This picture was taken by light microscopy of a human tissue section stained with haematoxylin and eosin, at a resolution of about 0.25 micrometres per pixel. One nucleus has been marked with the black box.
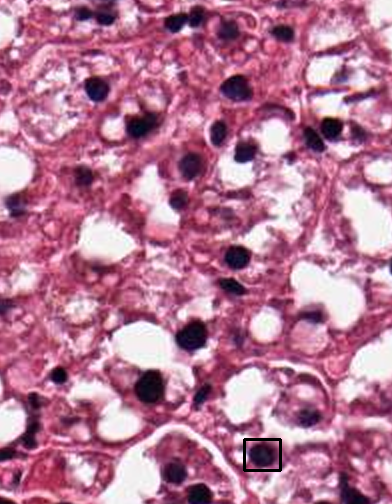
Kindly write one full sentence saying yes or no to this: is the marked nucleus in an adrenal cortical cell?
Yes, the cell to which the marked nucleus belongs is an adrenal cortical cell.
